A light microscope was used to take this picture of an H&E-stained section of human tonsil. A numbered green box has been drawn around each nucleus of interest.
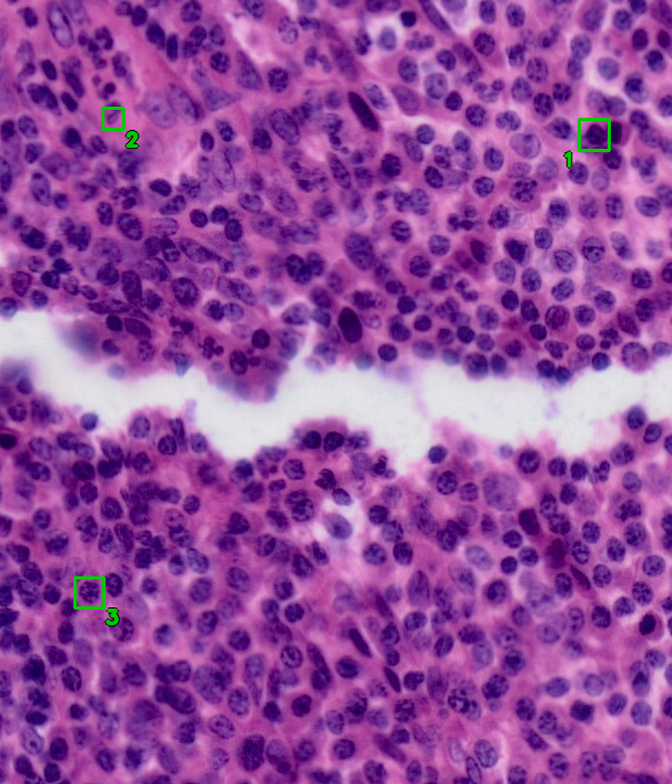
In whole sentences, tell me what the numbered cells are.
Cells 1 and 3 are plasma cells. Cell 2 is an endothelial cell.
